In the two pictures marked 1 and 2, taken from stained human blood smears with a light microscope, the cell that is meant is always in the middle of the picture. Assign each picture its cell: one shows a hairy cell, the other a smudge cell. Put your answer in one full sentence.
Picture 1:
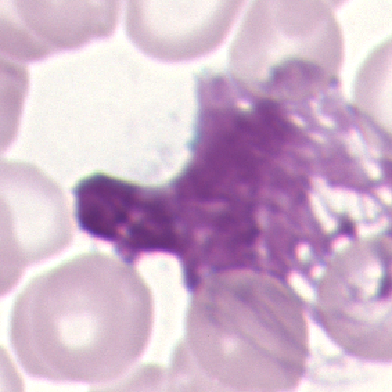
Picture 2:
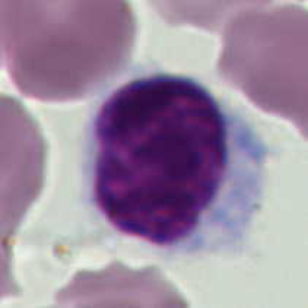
The cell in picture 1 is a smudge cell, and the one in picture 2 is a hairy cell.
